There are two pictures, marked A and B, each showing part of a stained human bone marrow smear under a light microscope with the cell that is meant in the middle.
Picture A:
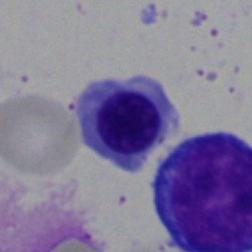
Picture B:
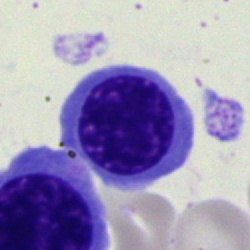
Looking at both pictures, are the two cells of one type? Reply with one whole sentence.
Yes; the cells in both pictures are erythroblasts.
